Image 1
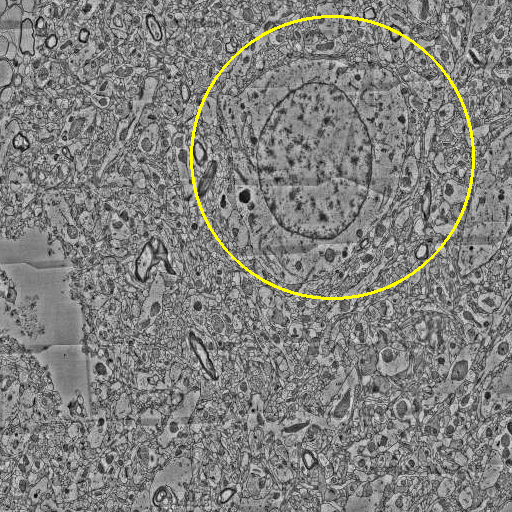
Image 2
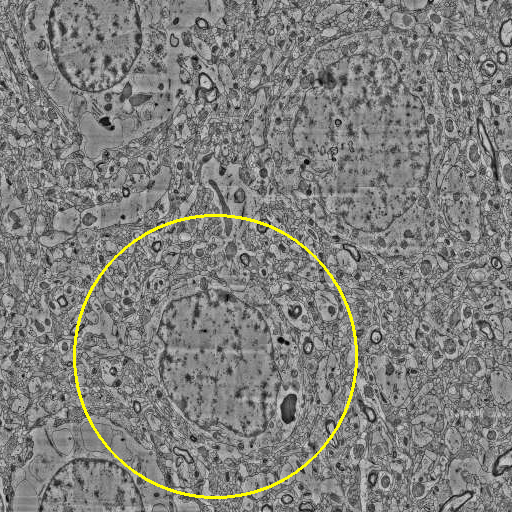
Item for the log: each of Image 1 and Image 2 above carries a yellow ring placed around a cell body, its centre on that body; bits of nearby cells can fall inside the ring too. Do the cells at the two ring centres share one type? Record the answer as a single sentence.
No, the two cells at the ring centres in Image 1 and Image 2 are of two types.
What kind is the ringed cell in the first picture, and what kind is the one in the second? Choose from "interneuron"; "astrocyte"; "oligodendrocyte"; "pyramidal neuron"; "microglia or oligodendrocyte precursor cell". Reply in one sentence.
The first cell is a pyramidal neuron; the second is an interneuron.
